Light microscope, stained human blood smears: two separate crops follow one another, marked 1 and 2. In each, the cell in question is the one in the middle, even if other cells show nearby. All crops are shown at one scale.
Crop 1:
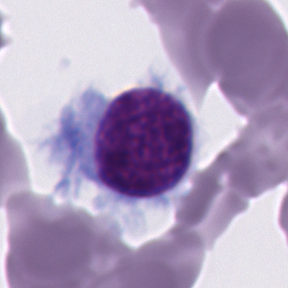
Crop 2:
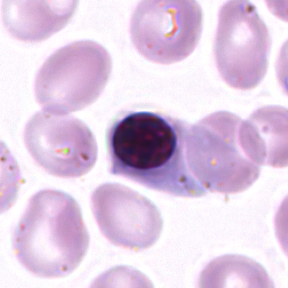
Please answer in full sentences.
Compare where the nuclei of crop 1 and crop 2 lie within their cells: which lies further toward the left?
It is the nucleus in crop 2 that lies further toward the left of its cell.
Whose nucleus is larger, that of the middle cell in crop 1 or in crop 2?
It is the nucleus in crop 1, about 3 times as large in area as the one in crop 2.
